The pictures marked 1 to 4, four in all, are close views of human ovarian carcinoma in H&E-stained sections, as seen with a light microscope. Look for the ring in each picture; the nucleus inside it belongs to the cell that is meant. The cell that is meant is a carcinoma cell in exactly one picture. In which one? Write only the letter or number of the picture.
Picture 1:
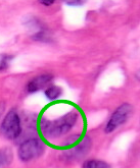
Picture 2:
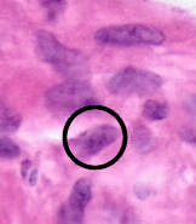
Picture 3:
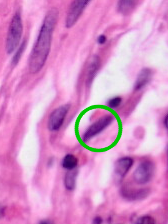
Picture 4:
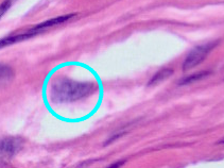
1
